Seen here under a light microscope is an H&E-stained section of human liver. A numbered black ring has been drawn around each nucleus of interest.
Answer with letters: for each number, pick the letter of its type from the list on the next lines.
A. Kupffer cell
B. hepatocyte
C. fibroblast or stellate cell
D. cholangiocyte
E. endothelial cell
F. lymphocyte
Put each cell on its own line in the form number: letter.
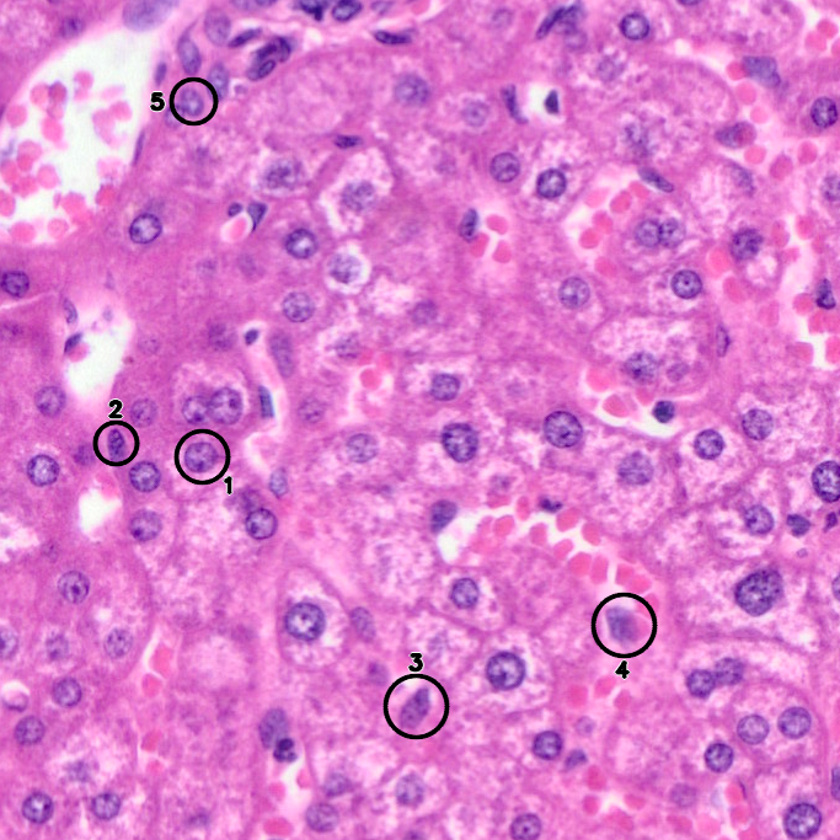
1: B
2: C
3: A
4: E
5: D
